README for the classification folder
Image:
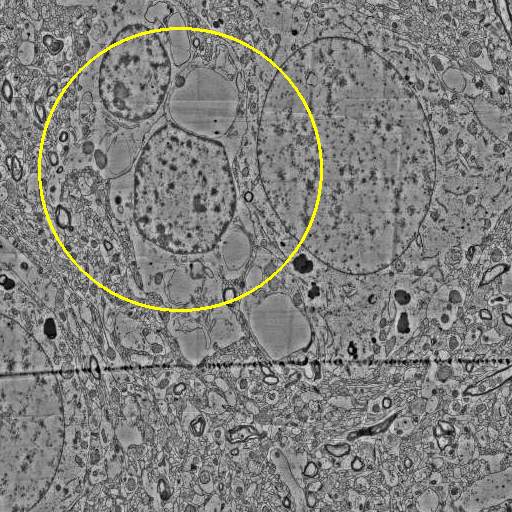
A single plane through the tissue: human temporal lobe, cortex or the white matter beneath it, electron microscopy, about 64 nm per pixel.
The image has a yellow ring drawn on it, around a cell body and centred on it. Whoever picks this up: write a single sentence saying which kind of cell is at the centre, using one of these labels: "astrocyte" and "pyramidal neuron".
This cell body is that of an astrocyte.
